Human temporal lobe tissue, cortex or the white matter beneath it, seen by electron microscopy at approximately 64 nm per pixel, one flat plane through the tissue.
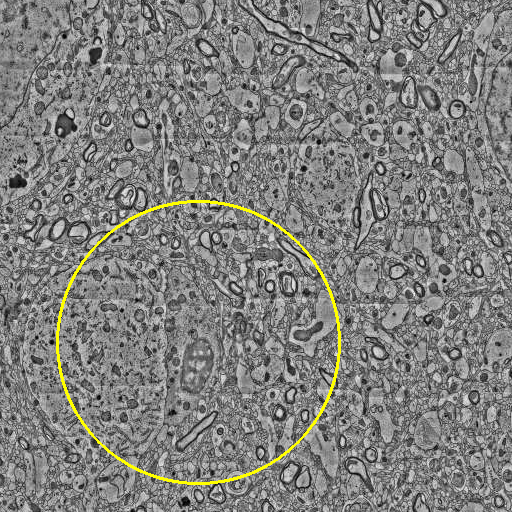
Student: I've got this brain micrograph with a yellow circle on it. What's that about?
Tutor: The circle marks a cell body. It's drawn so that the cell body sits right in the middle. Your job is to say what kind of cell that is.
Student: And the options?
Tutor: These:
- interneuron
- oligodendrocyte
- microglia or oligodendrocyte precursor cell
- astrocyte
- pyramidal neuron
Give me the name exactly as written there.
oligodendrocyte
